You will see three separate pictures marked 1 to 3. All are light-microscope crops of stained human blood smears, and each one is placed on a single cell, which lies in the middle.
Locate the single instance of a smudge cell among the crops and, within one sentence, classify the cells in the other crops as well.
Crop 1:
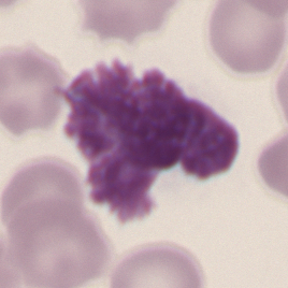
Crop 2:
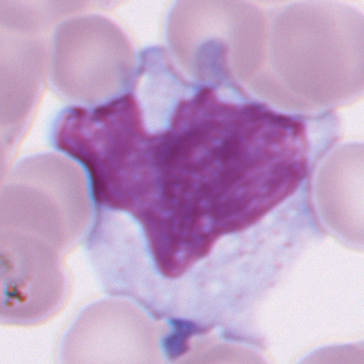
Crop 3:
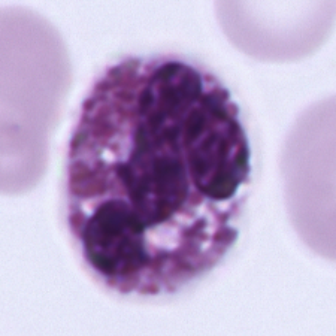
The cell of interest in crop 1 is a smudge cell, while crop 2 is a monocyte and crop 3 is an eosinophil.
